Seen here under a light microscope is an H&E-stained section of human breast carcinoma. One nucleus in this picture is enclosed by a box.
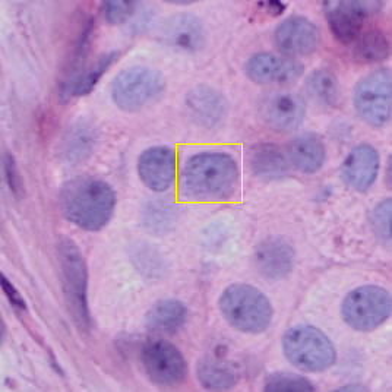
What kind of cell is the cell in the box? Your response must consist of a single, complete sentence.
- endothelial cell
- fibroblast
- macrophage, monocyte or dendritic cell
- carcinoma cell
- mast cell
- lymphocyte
Typologically, the cell in the box is a carcinoma cell in this section.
